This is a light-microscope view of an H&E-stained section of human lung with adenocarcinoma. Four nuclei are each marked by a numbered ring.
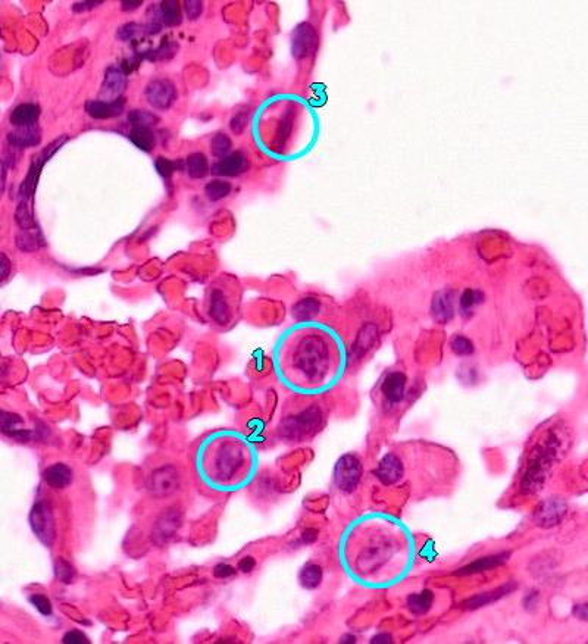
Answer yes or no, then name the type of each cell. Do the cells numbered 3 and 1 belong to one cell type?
No, cell 3 is an endothelial cell whereas cell 1 is a macrophage or monocyte.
